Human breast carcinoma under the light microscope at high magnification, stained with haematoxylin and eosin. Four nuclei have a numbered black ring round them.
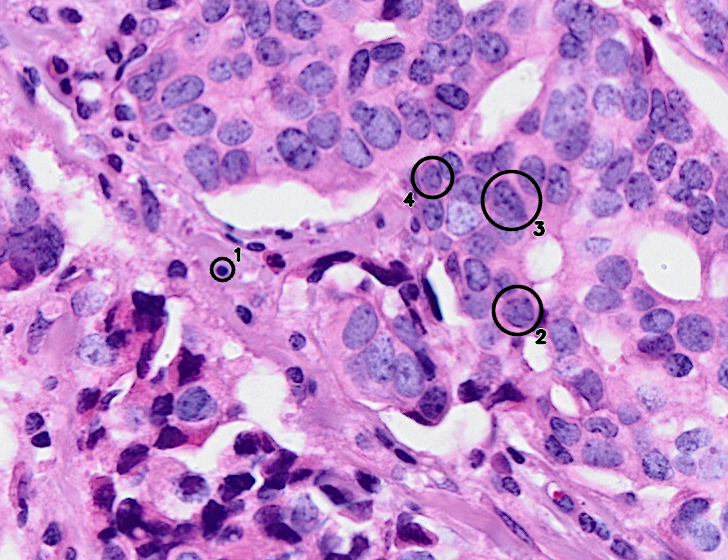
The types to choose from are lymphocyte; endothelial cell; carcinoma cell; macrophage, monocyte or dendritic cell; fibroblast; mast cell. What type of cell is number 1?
lymphocyte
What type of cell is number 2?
carcinoma cell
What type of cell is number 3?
carcinoma cell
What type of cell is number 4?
carcinoma cell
